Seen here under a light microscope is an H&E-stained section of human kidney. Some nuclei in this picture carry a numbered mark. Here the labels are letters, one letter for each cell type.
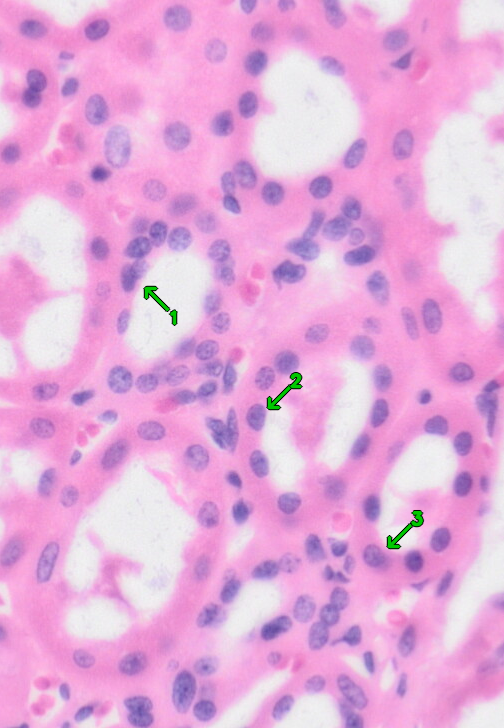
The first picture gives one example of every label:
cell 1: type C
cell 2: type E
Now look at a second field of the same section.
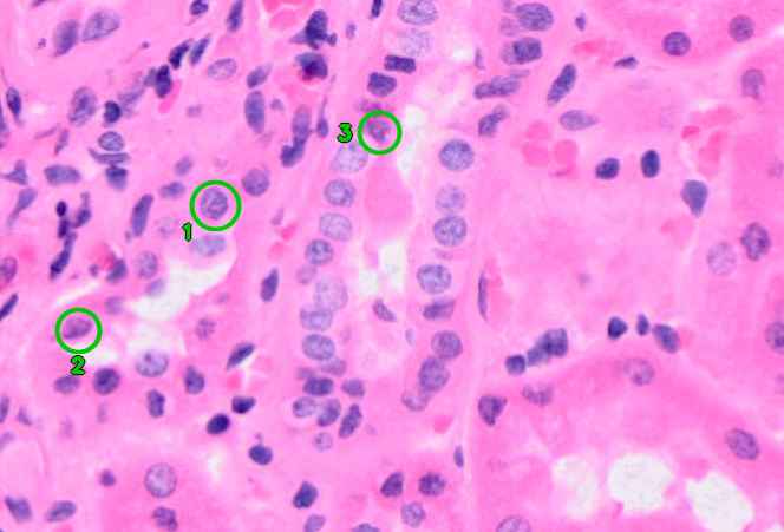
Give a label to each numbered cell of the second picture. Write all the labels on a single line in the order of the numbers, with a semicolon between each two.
type E; type E; type C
